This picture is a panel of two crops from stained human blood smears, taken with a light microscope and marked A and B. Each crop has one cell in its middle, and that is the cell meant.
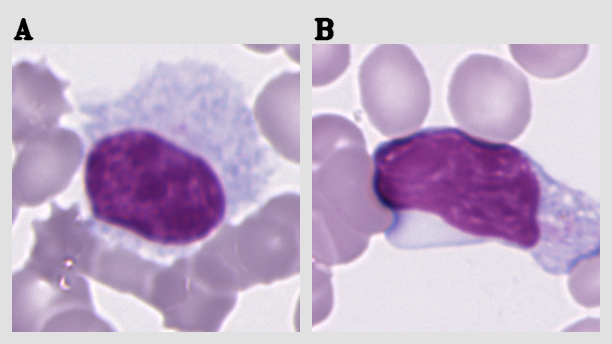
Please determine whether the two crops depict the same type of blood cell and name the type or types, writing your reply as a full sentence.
No, the middle of crop A shows a hairy cell, and the middle of crop B shows a typical lymphocyte.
